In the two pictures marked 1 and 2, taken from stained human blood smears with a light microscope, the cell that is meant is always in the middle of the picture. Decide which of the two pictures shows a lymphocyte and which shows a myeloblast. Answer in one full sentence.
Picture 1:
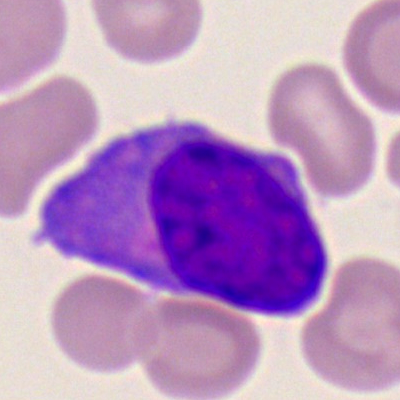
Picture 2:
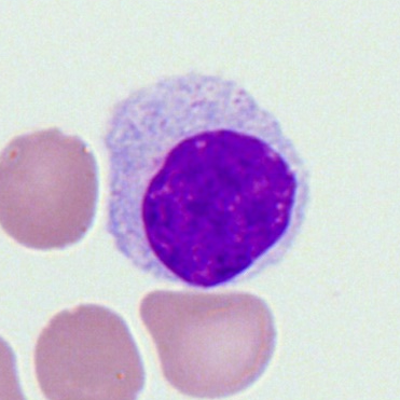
It is picture 1 that shows a myeloblast, and picture 2 that shows a lymphocyte.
